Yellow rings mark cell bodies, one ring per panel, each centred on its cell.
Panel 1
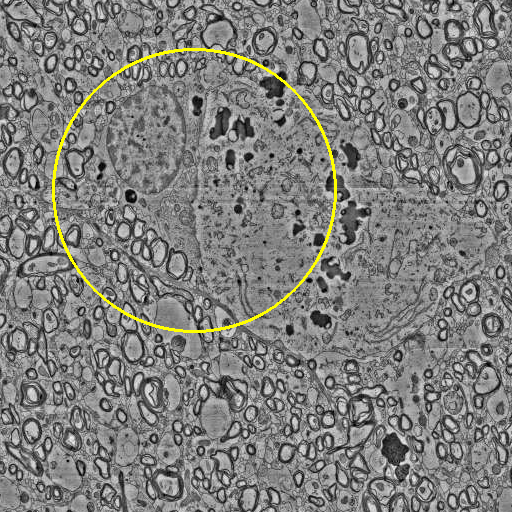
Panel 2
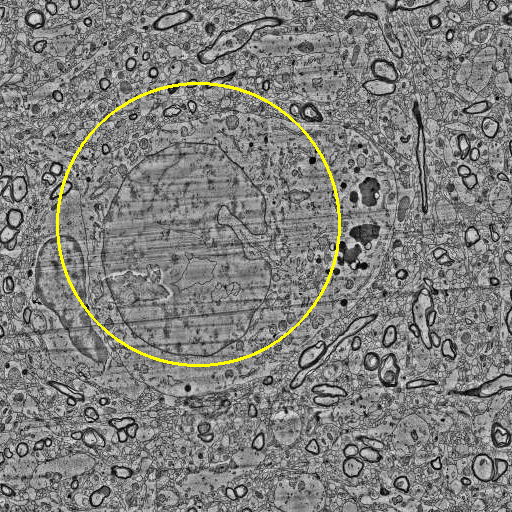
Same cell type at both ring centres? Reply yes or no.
no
